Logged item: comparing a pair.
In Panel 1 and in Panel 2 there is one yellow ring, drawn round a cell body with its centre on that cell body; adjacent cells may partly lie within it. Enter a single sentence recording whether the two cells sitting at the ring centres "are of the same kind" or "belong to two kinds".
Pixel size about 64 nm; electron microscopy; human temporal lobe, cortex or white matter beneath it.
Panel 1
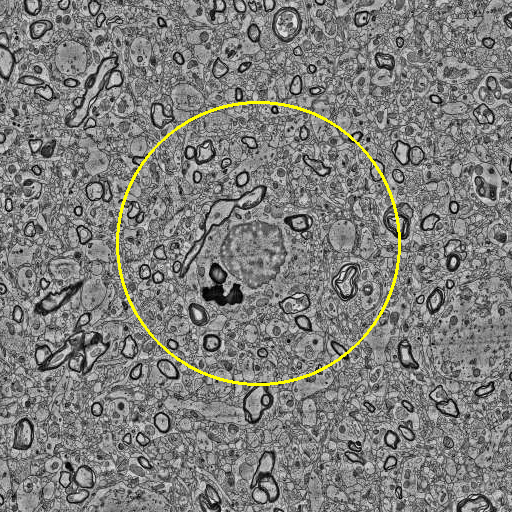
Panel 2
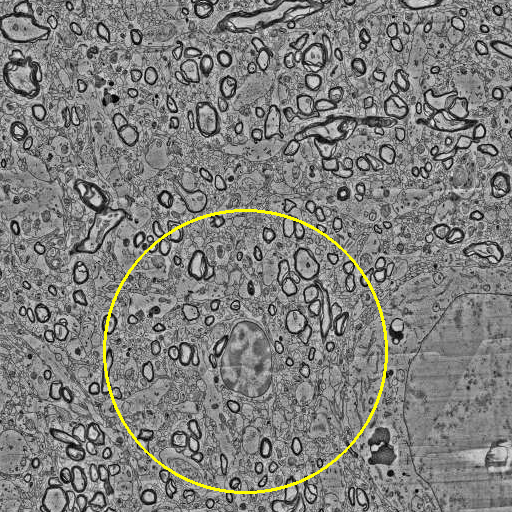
Logged: the cells centred in the rings of Panel 1 and Panel 2 belong to two kinds.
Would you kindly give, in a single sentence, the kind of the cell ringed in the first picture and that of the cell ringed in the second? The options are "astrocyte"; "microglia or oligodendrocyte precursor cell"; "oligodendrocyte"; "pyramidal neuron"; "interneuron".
The second cell is a microglial cell or oligodendrocyte precursor cell, and the first cell is an oligodendrocyte.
